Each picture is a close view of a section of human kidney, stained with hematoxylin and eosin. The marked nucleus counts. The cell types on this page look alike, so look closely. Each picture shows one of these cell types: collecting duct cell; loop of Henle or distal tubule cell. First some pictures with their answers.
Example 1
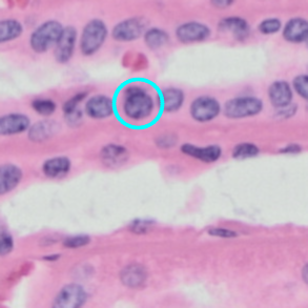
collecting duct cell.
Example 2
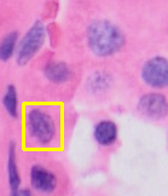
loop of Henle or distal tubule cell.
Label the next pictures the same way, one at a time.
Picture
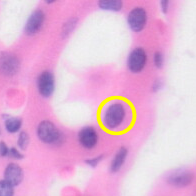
loop of Henle or distal tubule cell.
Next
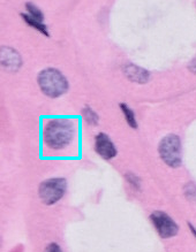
loop of Henle or distal tubule cell.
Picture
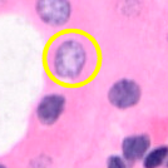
loop of Henle or distal tubule cell.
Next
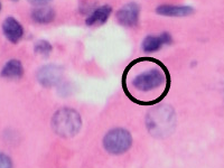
loop of Henle or distal tubule cell.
